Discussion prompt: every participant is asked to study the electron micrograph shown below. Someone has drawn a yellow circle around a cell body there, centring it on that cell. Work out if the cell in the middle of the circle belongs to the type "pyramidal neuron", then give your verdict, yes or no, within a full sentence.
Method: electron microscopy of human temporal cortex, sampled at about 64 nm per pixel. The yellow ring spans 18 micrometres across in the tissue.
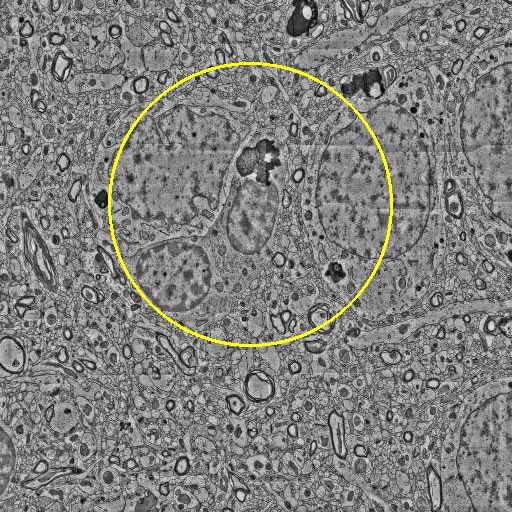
No, my verdict is that the cell in the circle's centre is of a different type.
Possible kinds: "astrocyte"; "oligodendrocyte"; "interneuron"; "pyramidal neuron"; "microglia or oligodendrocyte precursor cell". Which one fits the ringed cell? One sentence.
Instead, the cell at the centre of the ring is an oligodendrocyte.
